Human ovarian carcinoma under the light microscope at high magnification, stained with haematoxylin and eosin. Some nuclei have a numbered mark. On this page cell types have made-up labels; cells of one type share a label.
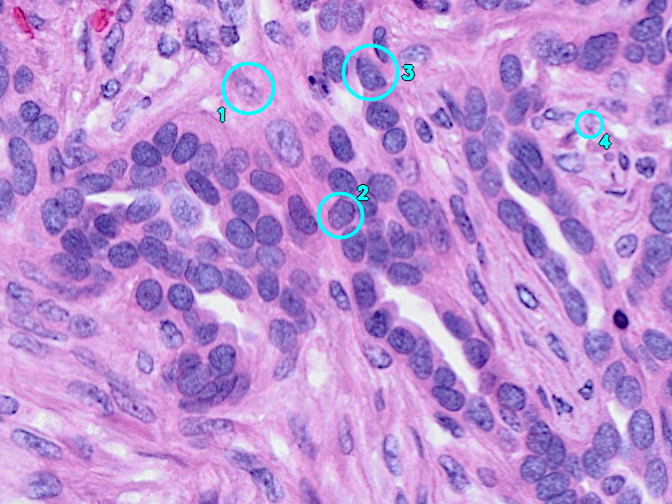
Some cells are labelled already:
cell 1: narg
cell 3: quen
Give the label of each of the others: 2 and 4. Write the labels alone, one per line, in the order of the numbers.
quen
narg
